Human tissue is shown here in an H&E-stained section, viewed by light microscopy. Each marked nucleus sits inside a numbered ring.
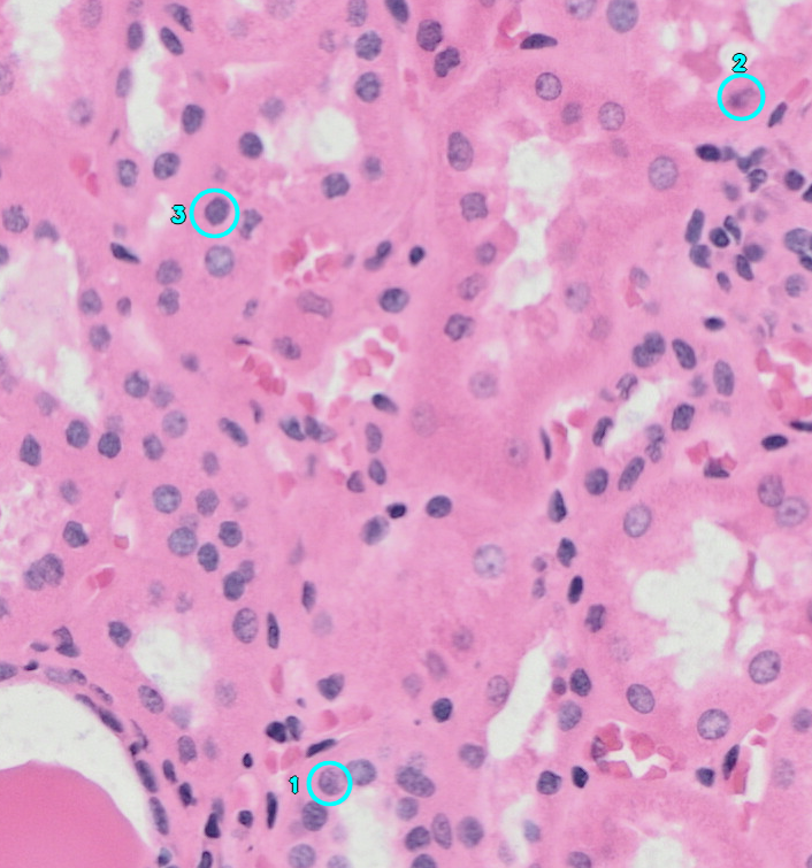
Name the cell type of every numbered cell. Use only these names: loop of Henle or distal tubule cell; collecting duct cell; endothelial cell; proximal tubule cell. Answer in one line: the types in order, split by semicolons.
collecting duct cell; proximal tubule cell; loop of Henle or distal tubule cell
